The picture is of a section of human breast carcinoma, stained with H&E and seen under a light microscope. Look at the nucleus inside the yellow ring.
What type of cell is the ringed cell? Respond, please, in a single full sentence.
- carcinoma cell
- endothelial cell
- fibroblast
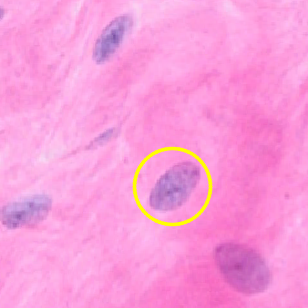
As to its cell type, the ringed cell is a fibroblast.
